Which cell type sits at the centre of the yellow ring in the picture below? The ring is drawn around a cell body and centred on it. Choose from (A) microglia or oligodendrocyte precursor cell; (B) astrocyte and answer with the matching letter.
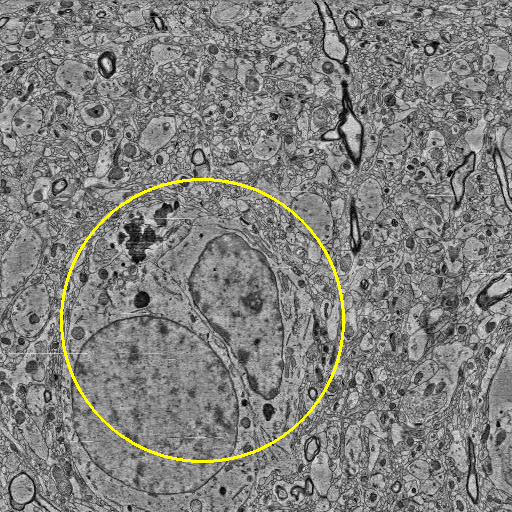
A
